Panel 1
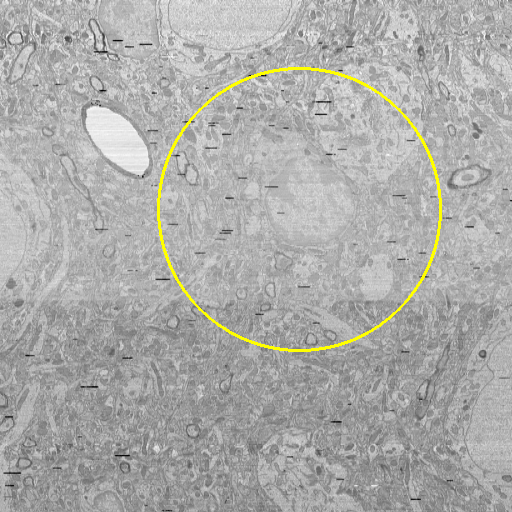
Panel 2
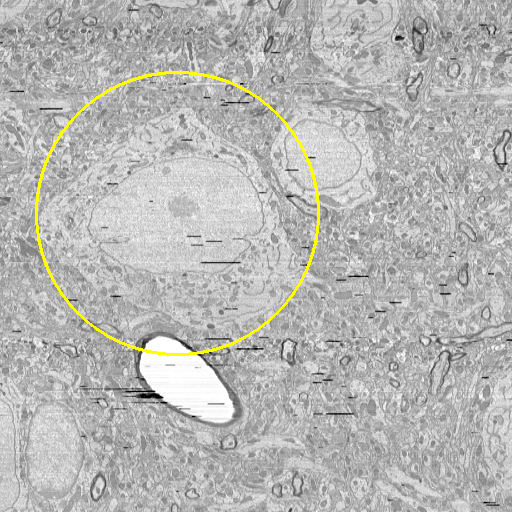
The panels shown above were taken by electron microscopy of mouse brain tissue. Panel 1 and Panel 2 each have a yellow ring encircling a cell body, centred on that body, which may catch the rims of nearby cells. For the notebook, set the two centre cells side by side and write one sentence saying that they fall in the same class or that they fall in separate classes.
The centred cells of Panel 1 and Panel 2 fall in separate classes.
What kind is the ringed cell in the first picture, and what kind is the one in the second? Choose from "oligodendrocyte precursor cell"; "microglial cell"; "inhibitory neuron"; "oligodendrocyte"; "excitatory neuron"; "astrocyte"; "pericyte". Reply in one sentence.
The first cell is an oligodendrocyte; the second is an excitatory neuron.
